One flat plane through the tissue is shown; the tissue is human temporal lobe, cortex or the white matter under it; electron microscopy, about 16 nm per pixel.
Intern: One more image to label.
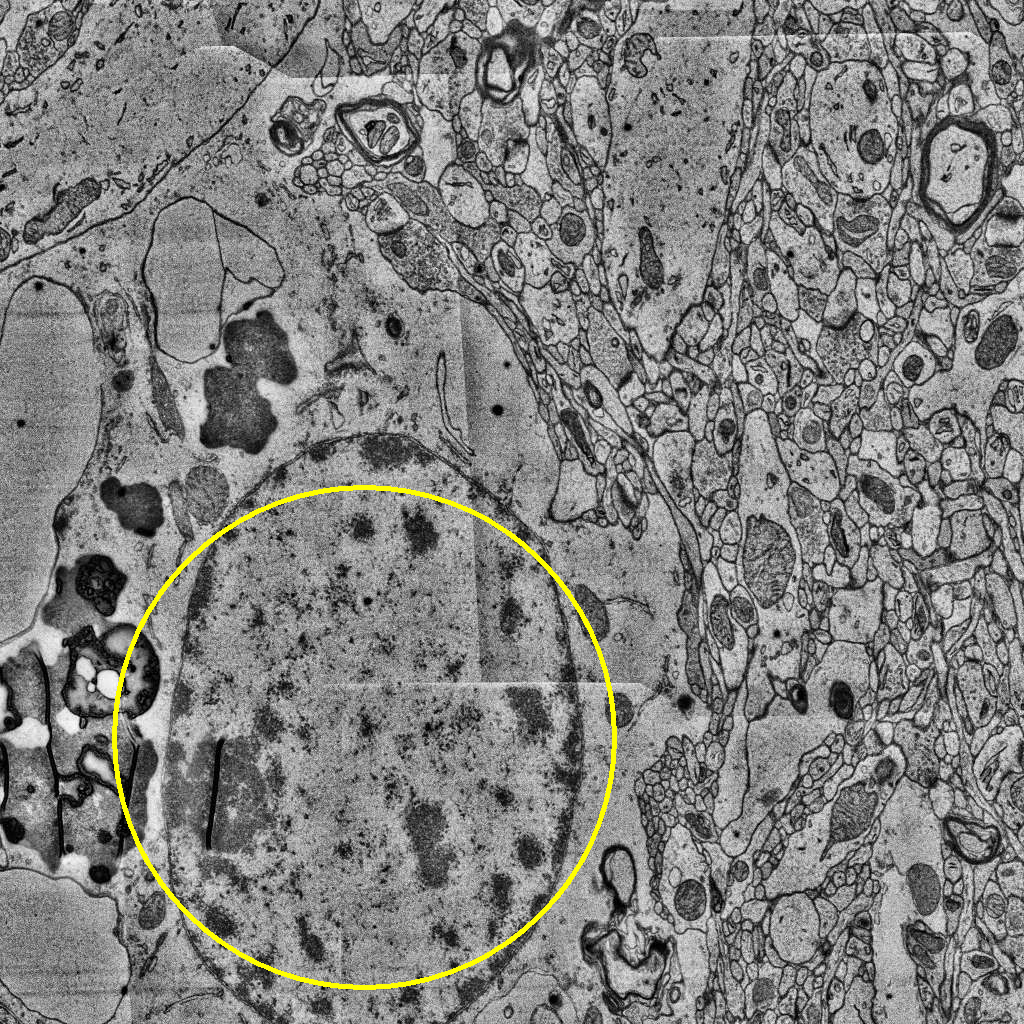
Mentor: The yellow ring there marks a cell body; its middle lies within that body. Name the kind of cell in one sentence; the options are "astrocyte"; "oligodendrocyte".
The ring marks the cell body of an astrocyte.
